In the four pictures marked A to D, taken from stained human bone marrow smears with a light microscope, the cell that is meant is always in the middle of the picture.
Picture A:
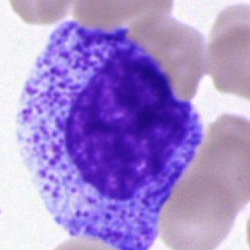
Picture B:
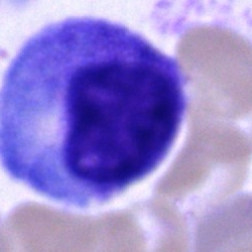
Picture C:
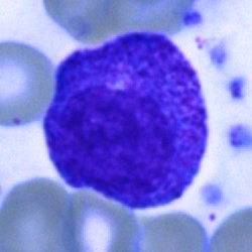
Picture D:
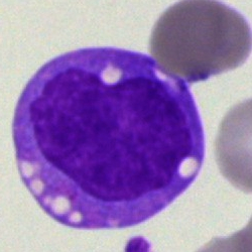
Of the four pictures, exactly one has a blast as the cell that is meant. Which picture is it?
D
